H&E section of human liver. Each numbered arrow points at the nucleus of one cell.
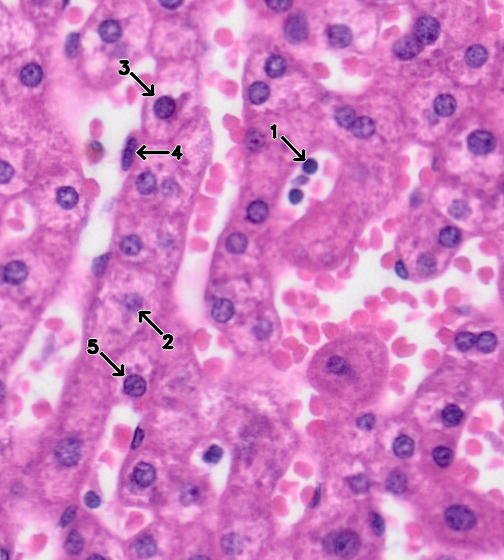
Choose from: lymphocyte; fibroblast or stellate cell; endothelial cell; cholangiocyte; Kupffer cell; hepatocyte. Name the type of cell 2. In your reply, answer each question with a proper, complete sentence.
It is as a hepatocyte that the cell numbered 2 is identified.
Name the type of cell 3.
The marked cell bearing number 3 is a hepatocyte.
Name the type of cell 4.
Cell 4, among those numbered, is a Kupffer cell.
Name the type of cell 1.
The marked cell bearing number 1 is a lymphocyte.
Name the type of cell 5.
The cell referred to as 5 is a hepatocyte.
